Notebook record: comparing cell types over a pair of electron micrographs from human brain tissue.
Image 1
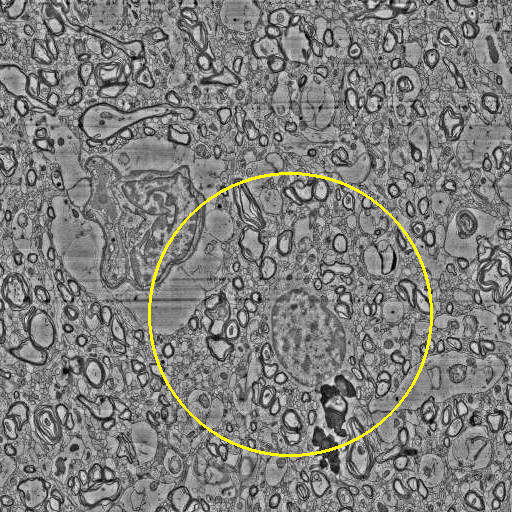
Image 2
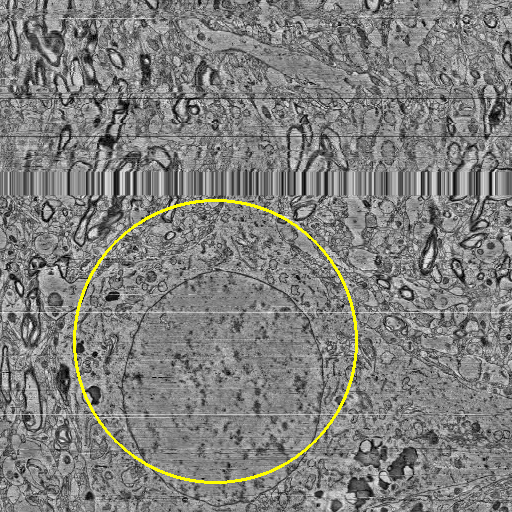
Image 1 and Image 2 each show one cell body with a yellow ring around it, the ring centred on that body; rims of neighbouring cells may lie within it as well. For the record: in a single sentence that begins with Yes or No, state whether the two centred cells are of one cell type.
No, two cell types are found among the centred cells of Image 1 and Image 2.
